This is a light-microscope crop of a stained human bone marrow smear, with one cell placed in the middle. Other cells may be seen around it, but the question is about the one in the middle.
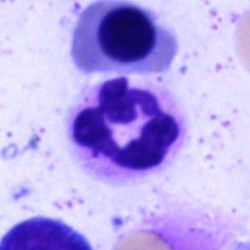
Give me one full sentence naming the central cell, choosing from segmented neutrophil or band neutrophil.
The cell at the central position in this crop is a segmented neutrophil.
